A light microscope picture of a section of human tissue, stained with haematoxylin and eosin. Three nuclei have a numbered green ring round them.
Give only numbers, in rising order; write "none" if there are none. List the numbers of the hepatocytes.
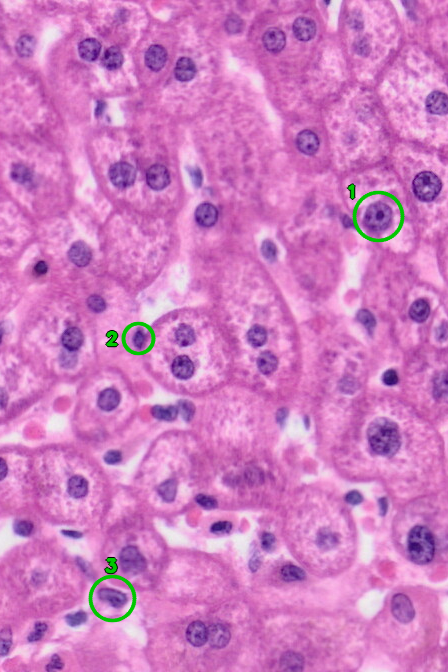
1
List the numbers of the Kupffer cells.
3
